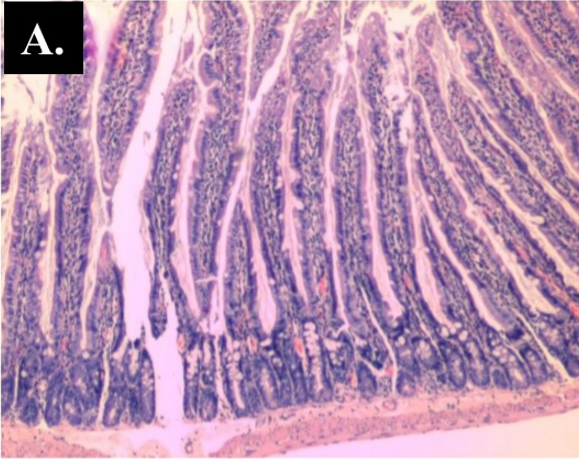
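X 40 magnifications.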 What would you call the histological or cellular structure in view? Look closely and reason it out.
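Long, slender finger-like mucosal projections stand side by side in parallel. Each projection is covered by a single layer of columnar epithelium with pale goblet cells. Rows of round crypts lie at the bases of the projections, above a thin pink muscular layer.
Answer: villi of small intestine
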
